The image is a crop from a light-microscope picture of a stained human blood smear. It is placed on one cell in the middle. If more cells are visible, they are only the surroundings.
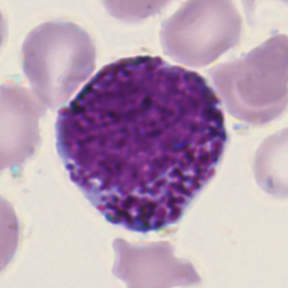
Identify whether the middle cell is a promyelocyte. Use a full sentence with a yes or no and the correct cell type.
No, not a promyelocyte here; the centered cell is a basophil.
